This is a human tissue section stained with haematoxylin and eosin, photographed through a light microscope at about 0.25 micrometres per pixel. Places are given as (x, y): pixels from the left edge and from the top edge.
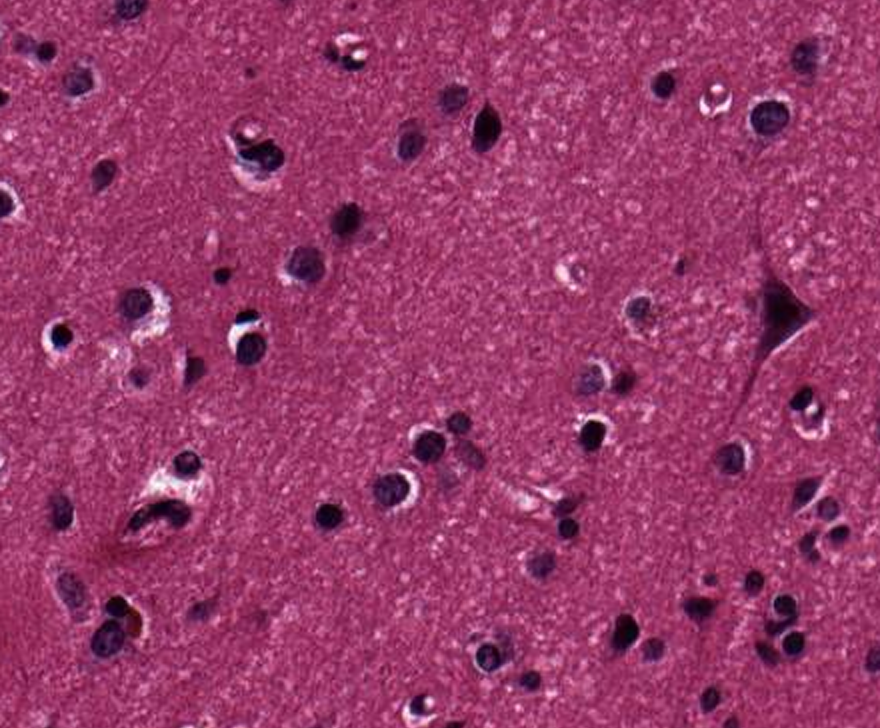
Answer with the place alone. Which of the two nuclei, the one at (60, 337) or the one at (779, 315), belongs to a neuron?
(779, 315)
